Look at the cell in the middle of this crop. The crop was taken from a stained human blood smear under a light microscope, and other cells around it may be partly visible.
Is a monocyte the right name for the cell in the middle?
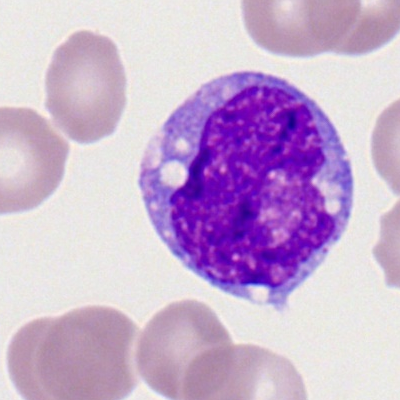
yes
